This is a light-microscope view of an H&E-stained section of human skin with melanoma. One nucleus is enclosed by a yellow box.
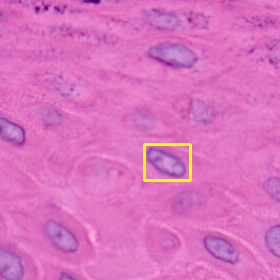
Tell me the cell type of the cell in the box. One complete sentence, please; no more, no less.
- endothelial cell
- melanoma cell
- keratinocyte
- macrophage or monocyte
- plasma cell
Histopathologically, the cell in the box is a keratinocyte.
